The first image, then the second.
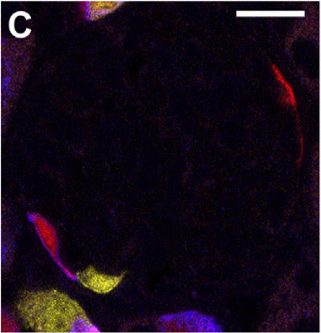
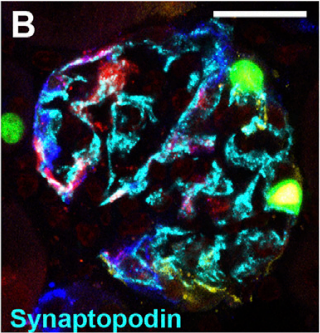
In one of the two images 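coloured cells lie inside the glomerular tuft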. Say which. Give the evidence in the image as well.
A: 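First image: only a few flat coloured cells at the rim, the inside is dark.
The second image.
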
